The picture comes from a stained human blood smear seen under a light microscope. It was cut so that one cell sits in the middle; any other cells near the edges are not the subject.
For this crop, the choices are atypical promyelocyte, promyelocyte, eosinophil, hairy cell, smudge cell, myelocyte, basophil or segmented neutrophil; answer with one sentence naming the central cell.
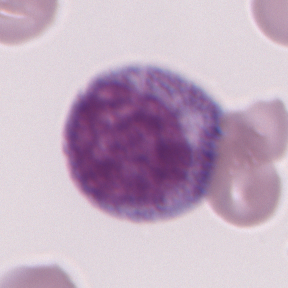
For this crop, the cell in the middle is a myelocyte.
